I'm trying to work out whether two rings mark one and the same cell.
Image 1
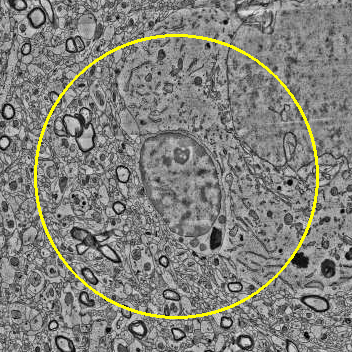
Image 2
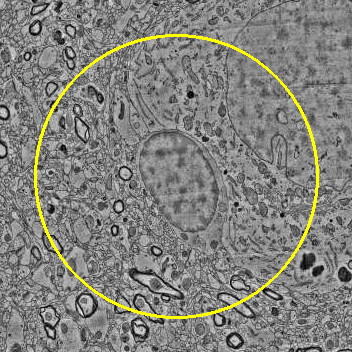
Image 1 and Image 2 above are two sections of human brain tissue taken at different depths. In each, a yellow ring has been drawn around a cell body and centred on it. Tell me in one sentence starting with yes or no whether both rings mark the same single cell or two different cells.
Yes, the two rings mark one cell and not separate cells.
